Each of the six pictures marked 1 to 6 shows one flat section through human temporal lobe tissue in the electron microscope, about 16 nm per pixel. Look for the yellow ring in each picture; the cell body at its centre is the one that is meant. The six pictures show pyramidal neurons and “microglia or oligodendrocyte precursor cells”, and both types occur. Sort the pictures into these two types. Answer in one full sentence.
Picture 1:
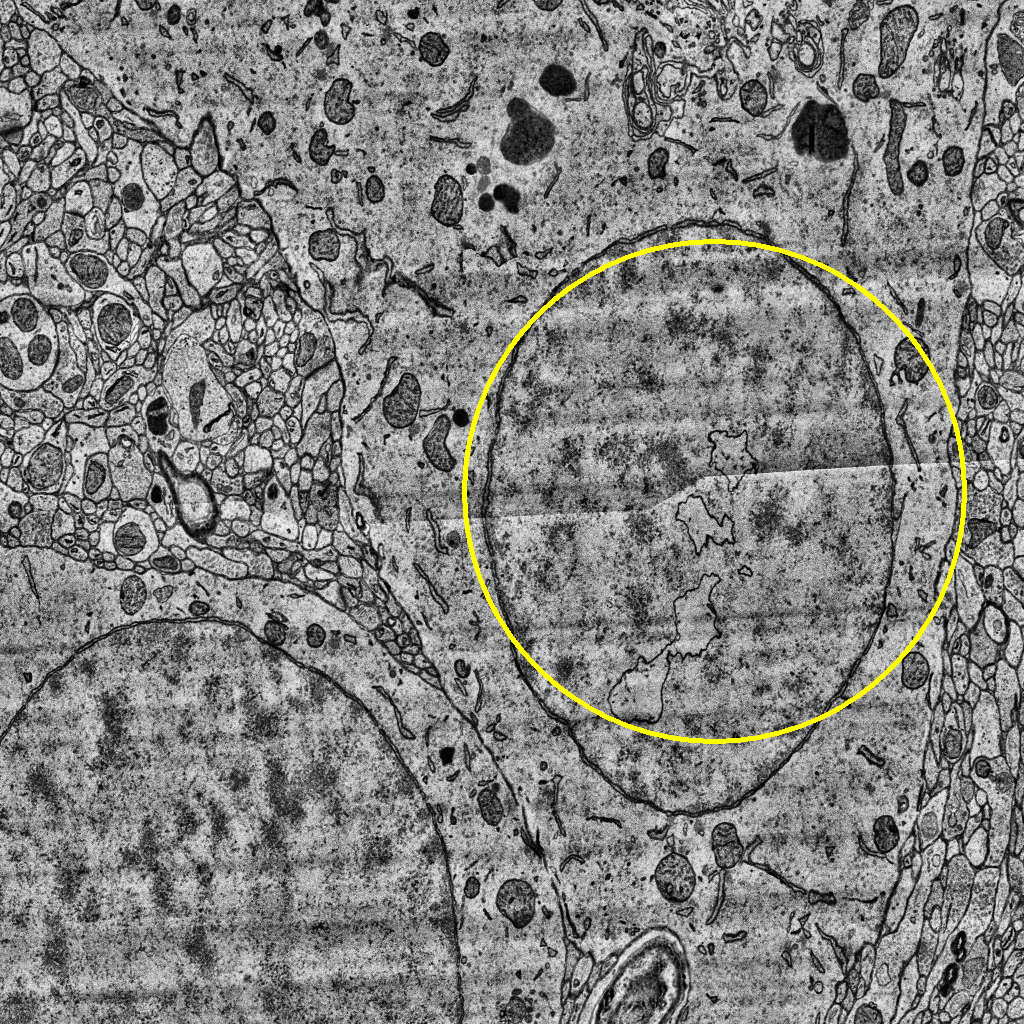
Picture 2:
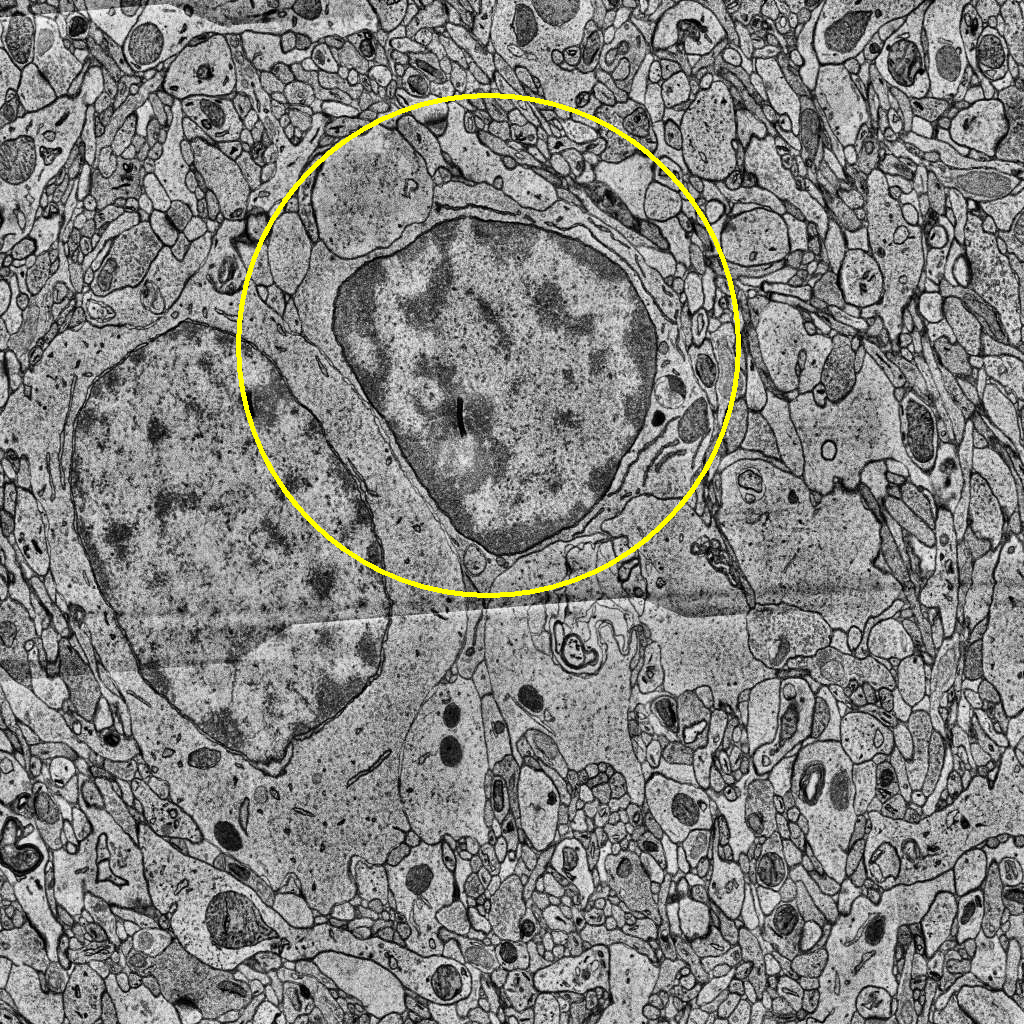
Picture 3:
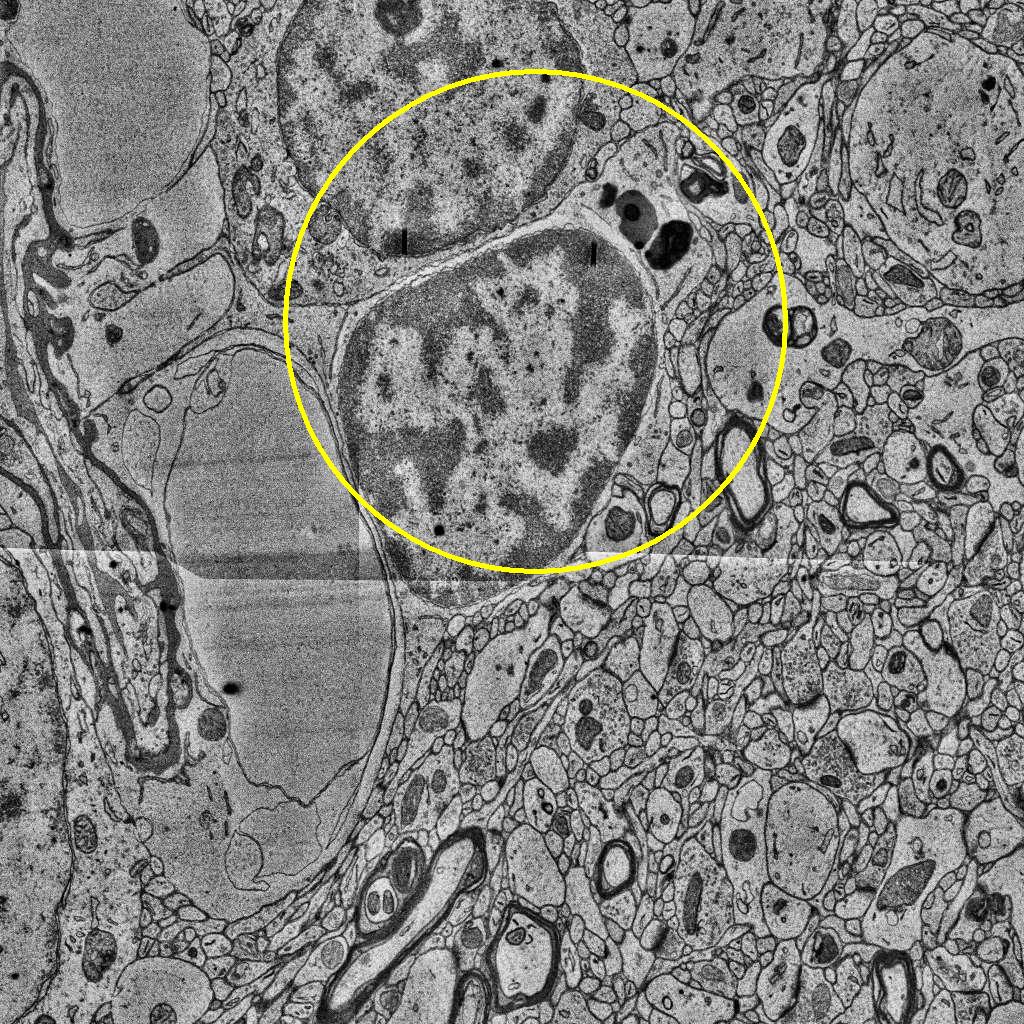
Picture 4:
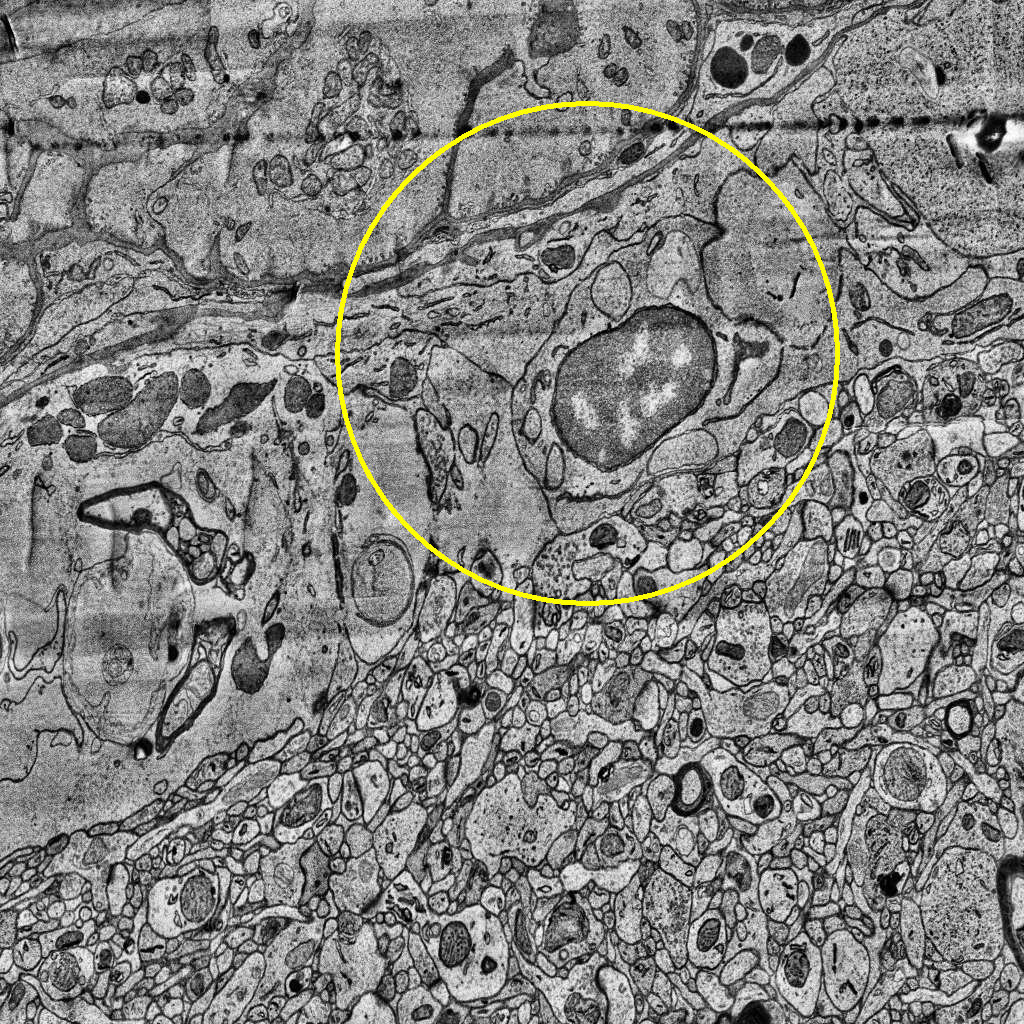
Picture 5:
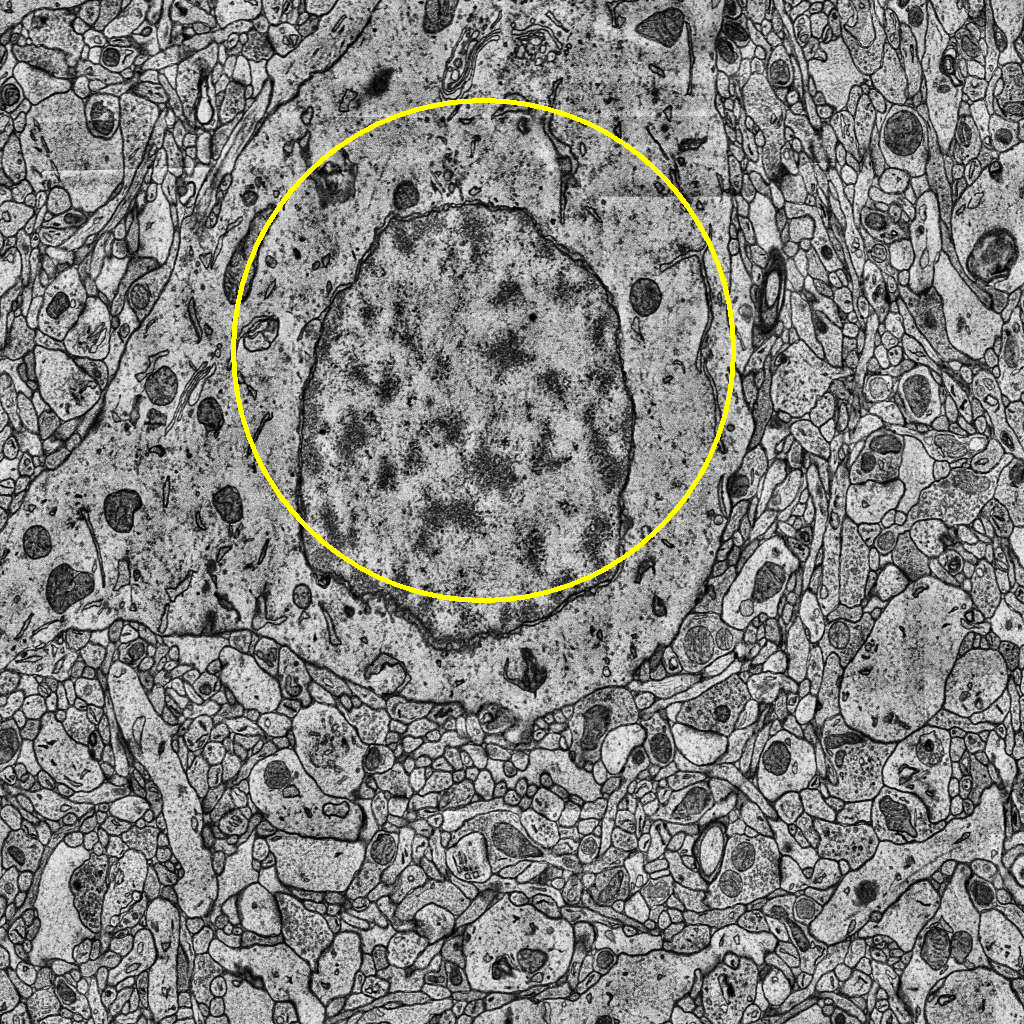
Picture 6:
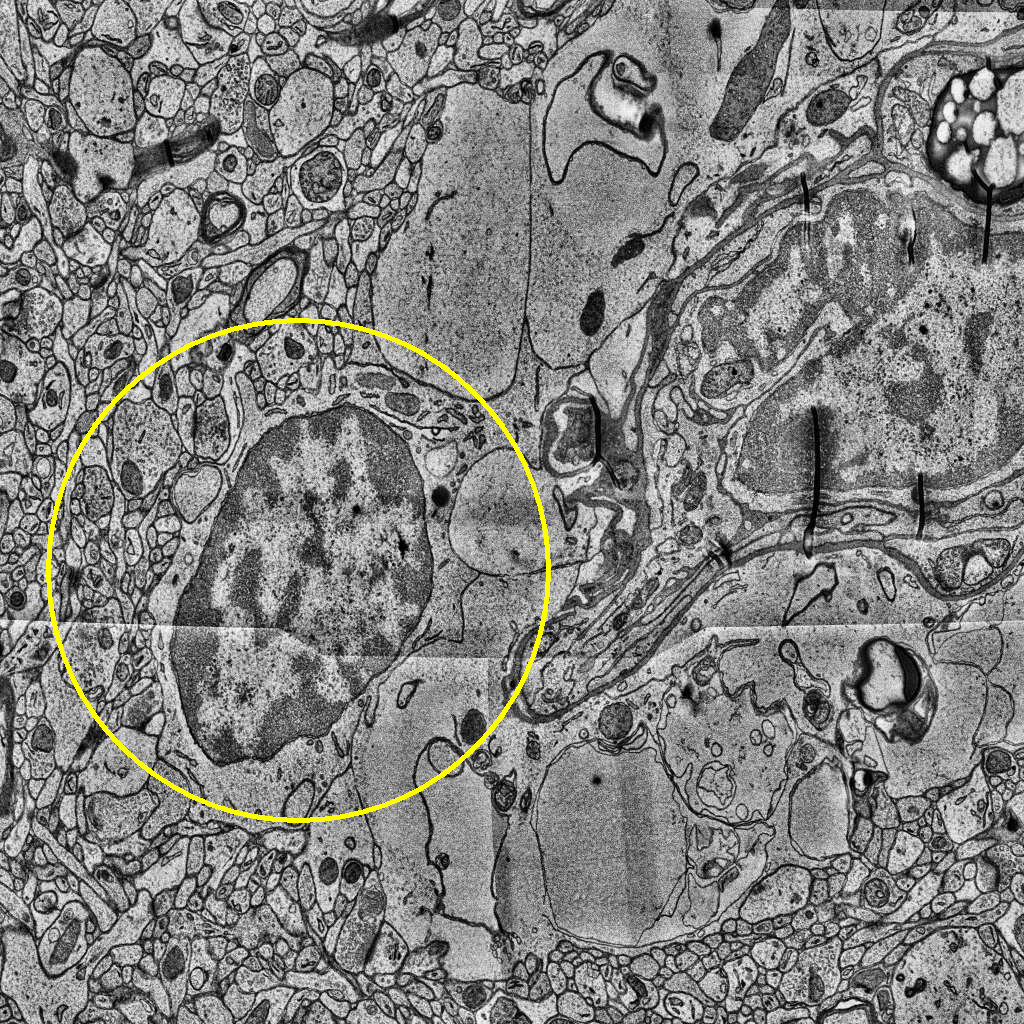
Pictures 1 and 5 show pyramidal neurons; pictures 2, 3, 4 and 6 show “microglia or oligodendrocyte precursor cells”.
